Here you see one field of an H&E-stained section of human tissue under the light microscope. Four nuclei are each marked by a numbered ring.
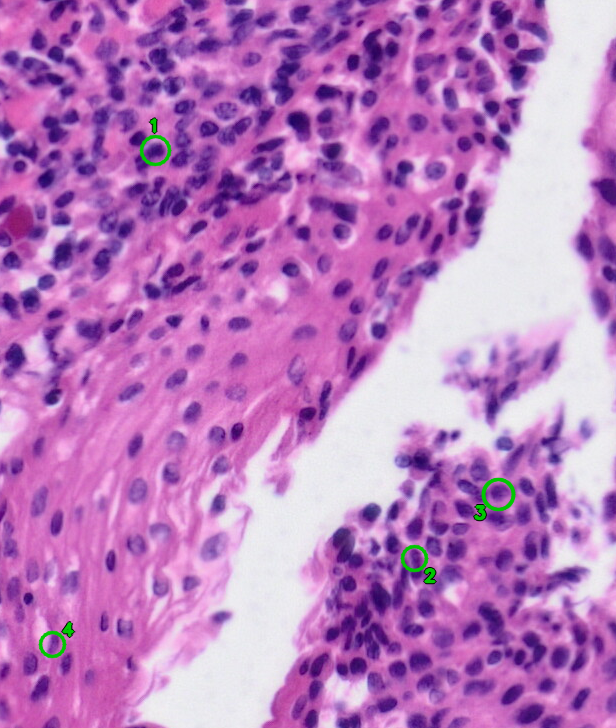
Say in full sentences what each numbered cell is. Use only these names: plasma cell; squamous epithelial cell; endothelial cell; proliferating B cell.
Cell 1 is a plasma cell. Cells 2, 3 and 4 are squamous epithelial cells.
